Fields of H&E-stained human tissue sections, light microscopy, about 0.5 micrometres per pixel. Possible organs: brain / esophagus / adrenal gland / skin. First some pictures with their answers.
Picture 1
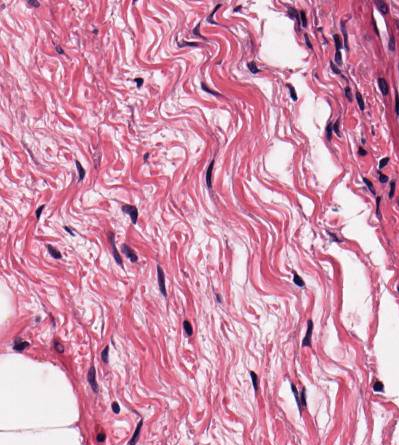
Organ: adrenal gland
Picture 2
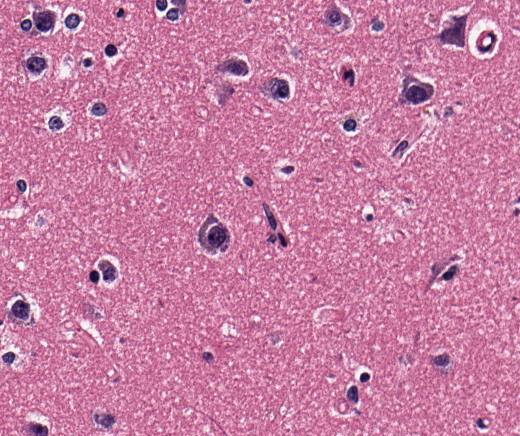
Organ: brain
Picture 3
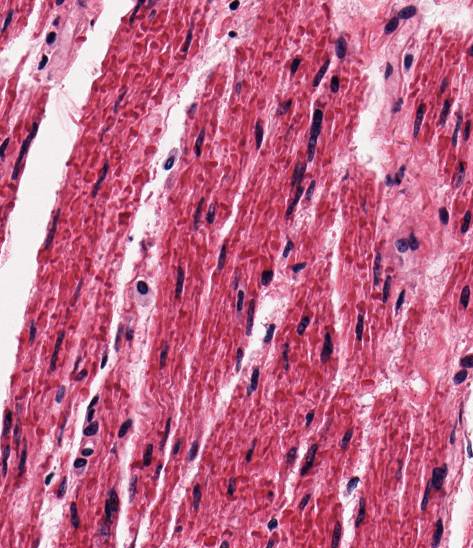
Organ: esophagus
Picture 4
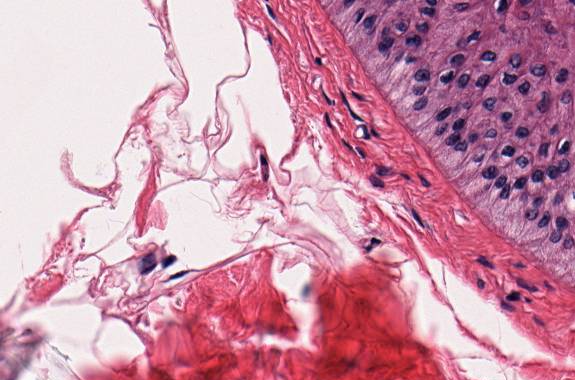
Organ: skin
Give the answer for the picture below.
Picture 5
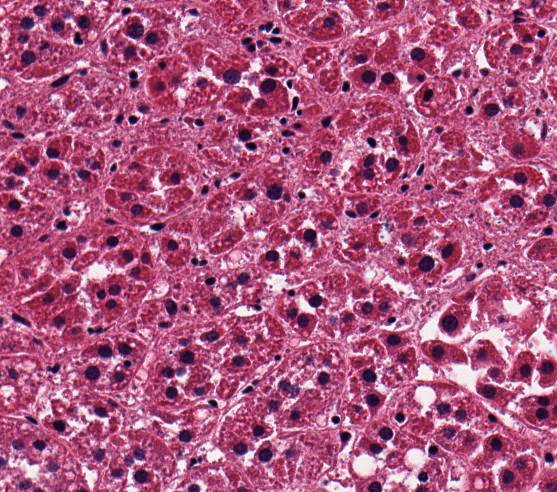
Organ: adrenal gland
